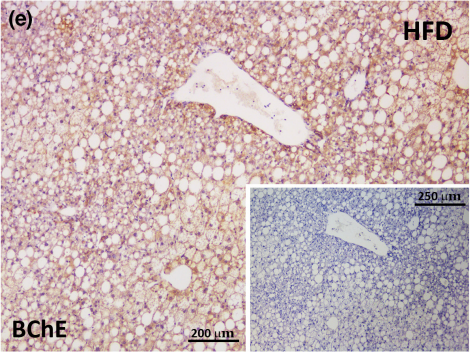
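This is liver tissue whose hepatocytes are densely packed with round clear vacuoles of many sizes. Many vacuoles are large and push the surrounding cell material aside, while smaller ones crowd the cytoplasm between them. The cytoplasm and cell borders between the vacuoles carry a diffuse brown stain across most of the field. A large irregular vessel lumen lies in the centre, with a few smaller lumens nearby. The inset in the lower right shows a comparable vacuolated field stained only in blue.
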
